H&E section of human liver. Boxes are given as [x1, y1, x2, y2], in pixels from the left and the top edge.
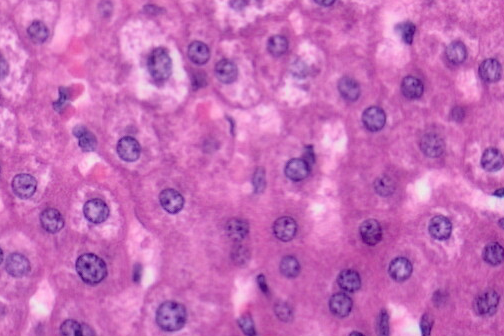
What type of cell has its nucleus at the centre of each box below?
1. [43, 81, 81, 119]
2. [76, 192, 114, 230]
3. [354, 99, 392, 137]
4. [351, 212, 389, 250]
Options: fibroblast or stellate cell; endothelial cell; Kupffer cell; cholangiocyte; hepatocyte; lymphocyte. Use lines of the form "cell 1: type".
cell 1: endothelial cell
cell 2: hepatocyte
cell 3: hepatocyte
cell 4: hepatocyte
